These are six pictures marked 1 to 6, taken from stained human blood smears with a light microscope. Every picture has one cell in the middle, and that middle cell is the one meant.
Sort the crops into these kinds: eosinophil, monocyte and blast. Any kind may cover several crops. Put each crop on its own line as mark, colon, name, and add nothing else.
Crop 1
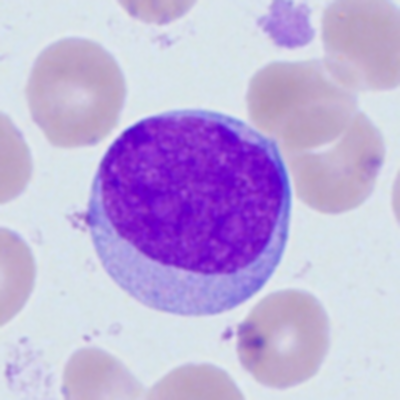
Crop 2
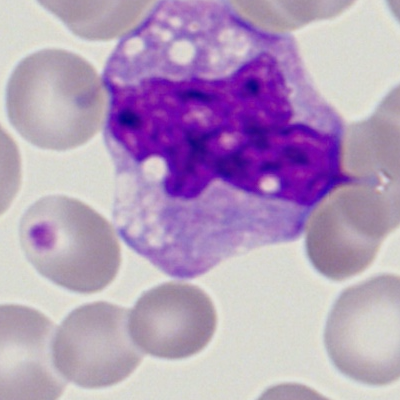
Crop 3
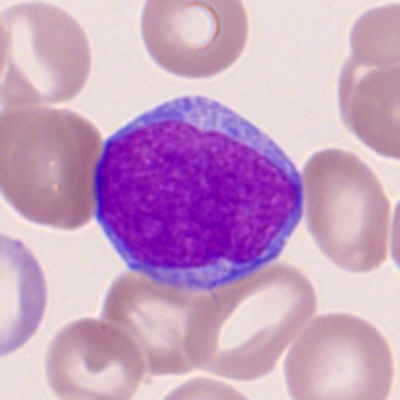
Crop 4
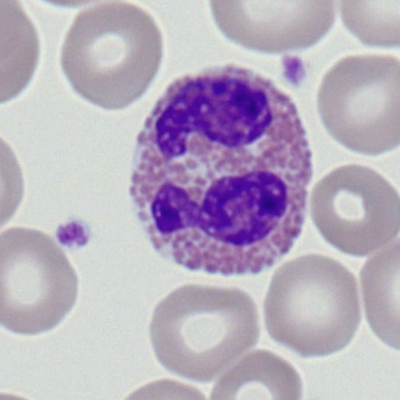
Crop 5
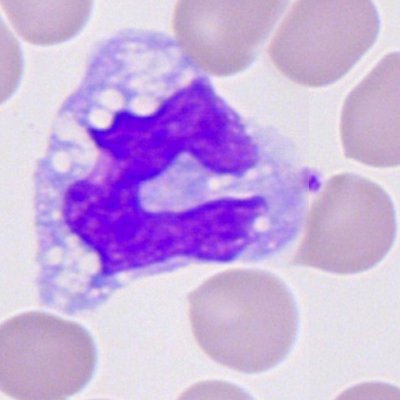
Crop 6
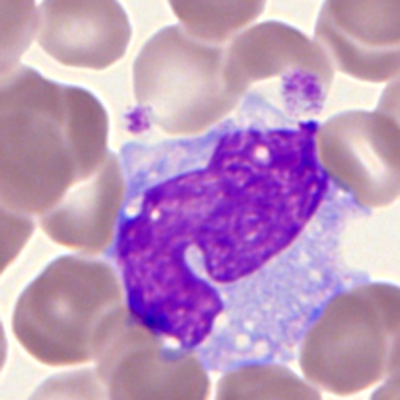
1: blast
2: monocyte
3: blast
4: eosinophil
5: monocyte
6: monocyte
